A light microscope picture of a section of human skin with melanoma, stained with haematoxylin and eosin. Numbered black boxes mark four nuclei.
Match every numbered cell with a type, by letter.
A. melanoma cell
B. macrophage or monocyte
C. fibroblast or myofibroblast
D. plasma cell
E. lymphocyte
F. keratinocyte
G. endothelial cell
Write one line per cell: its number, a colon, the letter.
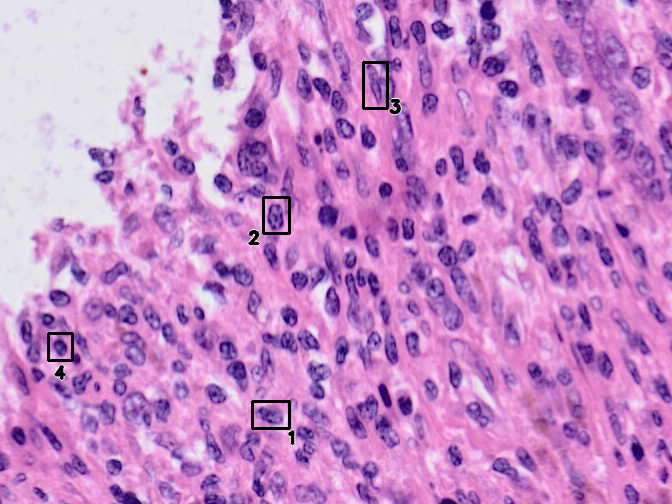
1: E
2: E
3: G
4: E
